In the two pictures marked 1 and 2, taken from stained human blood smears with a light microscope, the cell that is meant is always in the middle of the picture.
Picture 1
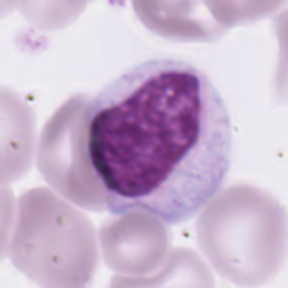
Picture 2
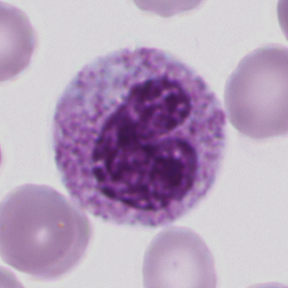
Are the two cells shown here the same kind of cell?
no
